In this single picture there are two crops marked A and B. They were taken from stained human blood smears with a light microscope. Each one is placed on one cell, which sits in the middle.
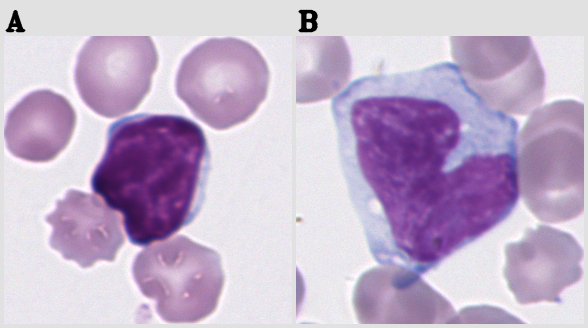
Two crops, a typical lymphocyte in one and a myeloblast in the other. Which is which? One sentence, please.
The cell in crop A is a typical lymphocyte, and the one in crop B is a myeloblast.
